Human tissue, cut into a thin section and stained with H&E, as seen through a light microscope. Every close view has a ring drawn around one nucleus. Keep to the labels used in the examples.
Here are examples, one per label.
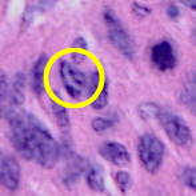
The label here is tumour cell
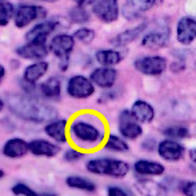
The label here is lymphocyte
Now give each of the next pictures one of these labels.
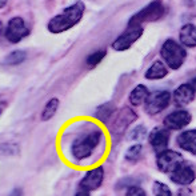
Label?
lymphocyte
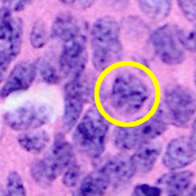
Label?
tumour cell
